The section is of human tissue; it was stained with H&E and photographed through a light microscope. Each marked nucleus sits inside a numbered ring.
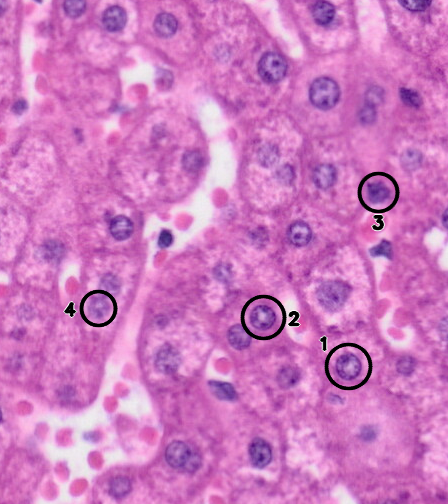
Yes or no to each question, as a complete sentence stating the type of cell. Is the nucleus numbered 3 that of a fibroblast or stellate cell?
Yes, the cell marked by the number 3 is a fibroblast or stellate cell.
